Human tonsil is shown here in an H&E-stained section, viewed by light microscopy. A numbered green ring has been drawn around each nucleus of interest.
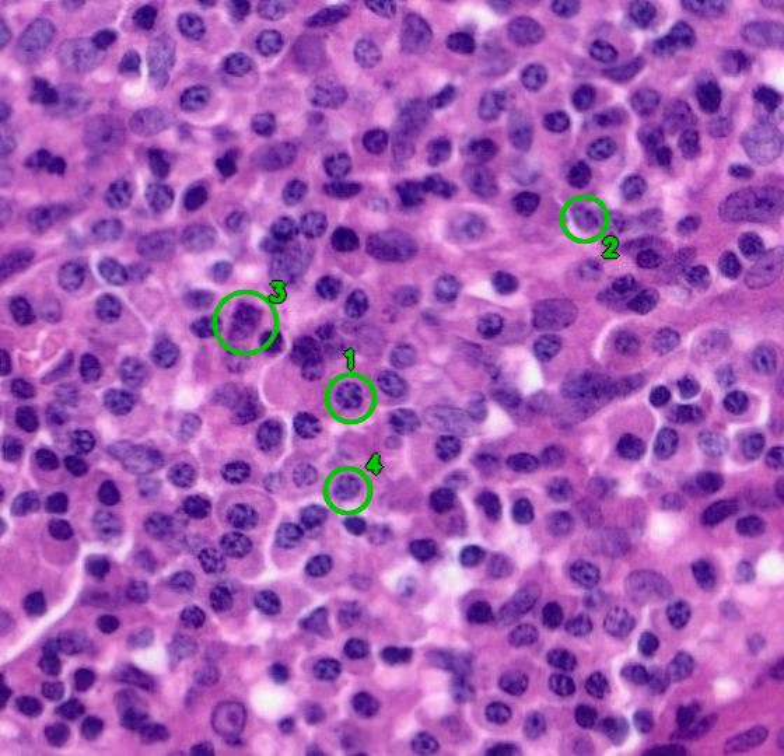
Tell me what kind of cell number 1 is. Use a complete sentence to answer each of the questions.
Marked with the number 1, this cell is a plasma cell.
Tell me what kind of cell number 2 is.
The one labeled 2 is a plasma cell, to put it simply.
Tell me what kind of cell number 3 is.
Cell number 3 in this section is a squamous epithelial cell.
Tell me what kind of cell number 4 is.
Corresponding to a plasma cell is the cell labelled 4.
